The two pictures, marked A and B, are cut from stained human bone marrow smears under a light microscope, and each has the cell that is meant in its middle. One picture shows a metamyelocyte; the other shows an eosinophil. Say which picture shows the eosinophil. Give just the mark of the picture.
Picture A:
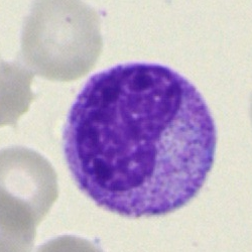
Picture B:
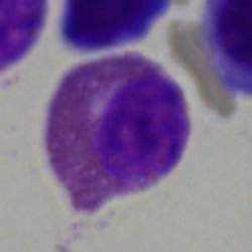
B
